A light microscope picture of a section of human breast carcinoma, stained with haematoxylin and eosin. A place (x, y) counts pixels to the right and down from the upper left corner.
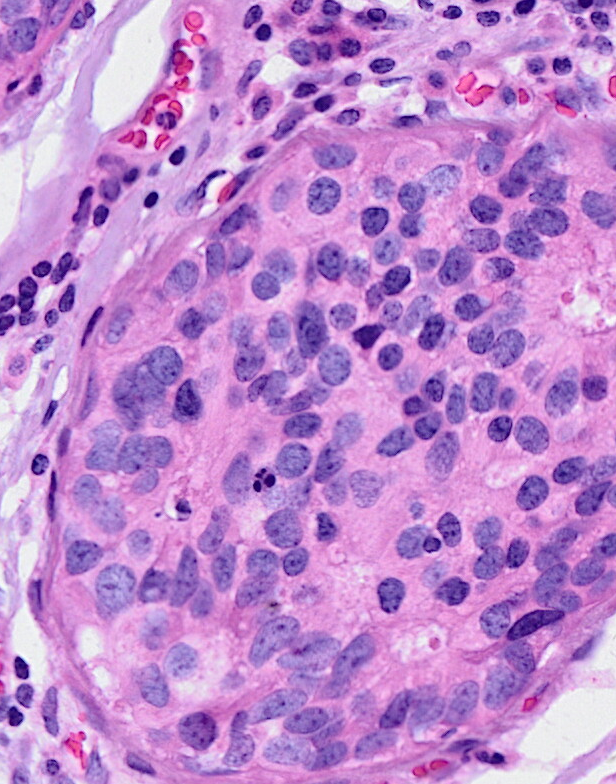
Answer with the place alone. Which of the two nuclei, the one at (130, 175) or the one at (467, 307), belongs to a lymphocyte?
(130, 175)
